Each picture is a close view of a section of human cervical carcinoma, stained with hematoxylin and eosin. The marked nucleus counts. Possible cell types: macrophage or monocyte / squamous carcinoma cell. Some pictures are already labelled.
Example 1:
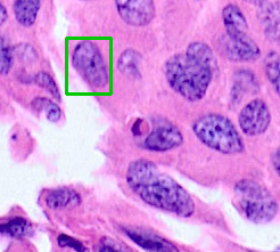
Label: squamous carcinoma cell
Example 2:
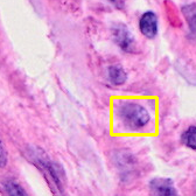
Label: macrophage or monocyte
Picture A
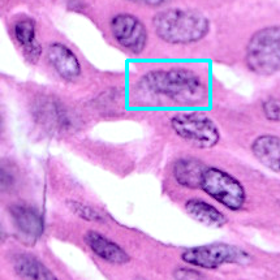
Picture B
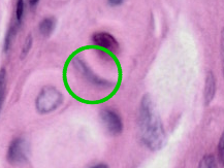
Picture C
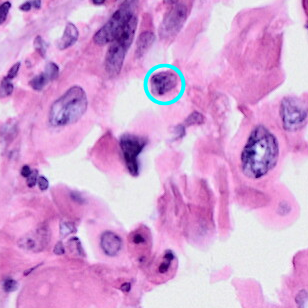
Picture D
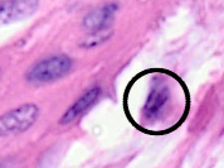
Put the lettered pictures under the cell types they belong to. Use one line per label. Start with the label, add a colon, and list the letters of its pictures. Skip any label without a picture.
macrophage or monocyte: C, D
squamous carcinoma cell: A, B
